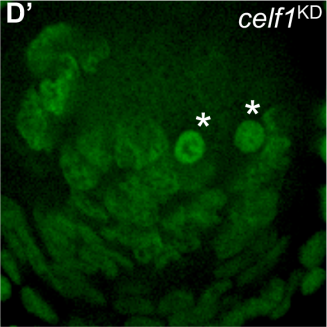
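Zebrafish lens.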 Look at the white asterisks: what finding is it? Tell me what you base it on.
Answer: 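Abnormally retained nuclei. Round green-outlined nuclei lie within the central region.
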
